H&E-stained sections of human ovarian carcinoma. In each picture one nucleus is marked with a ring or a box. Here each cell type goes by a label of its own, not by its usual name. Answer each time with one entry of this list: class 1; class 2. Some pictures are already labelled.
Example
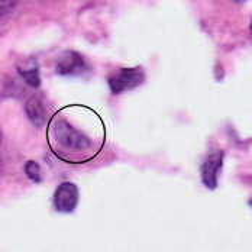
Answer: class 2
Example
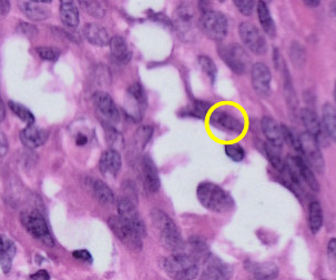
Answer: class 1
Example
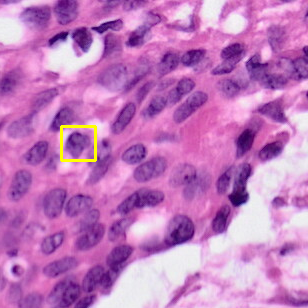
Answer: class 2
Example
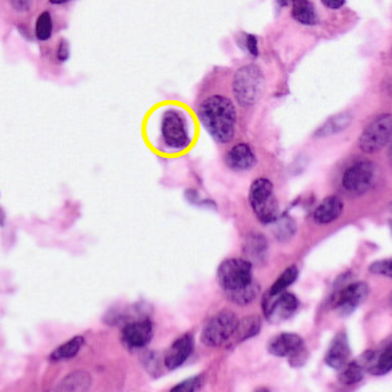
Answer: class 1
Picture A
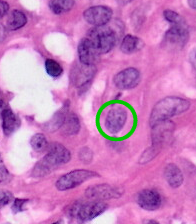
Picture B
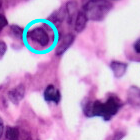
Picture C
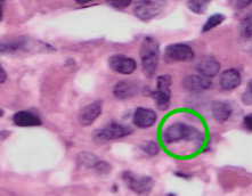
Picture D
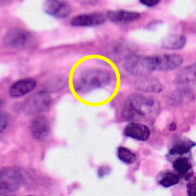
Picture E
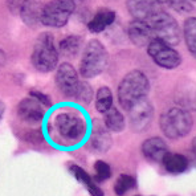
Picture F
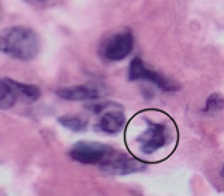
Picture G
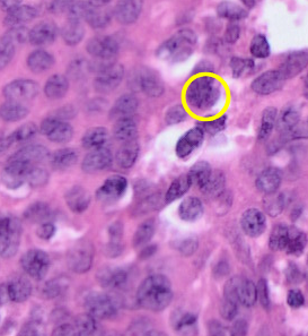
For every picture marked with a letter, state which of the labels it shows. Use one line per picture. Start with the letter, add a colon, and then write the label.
A: class 2
B: class 1
C: class 2
D: class 1
E: class 2
F: class 2
G: class 1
